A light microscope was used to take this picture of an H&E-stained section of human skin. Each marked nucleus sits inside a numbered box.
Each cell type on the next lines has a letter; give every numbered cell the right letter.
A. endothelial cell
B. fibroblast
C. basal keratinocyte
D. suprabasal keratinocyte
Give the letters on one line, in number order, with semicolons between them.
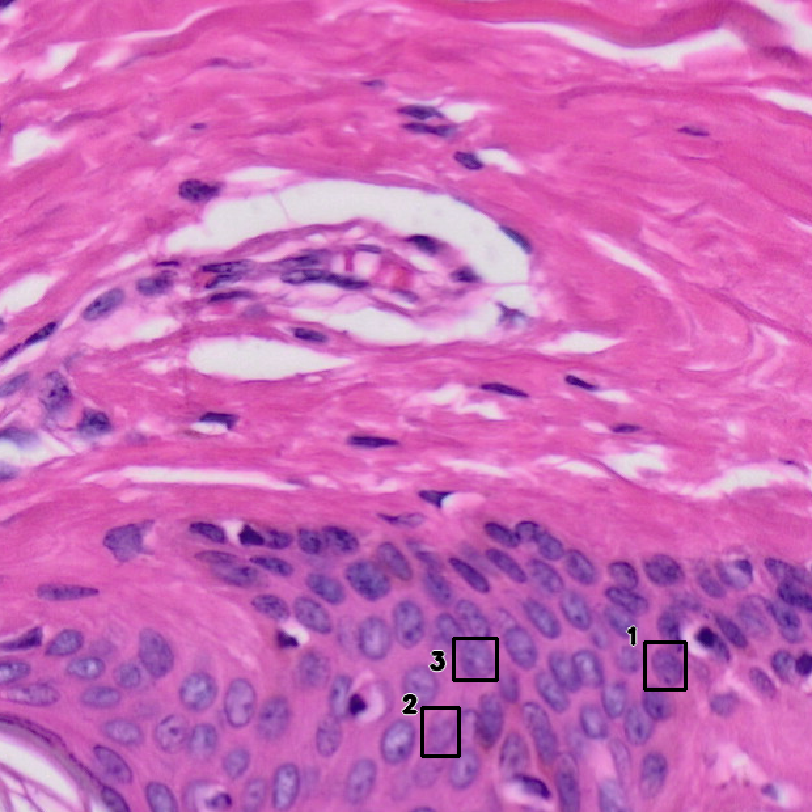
C; D; D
